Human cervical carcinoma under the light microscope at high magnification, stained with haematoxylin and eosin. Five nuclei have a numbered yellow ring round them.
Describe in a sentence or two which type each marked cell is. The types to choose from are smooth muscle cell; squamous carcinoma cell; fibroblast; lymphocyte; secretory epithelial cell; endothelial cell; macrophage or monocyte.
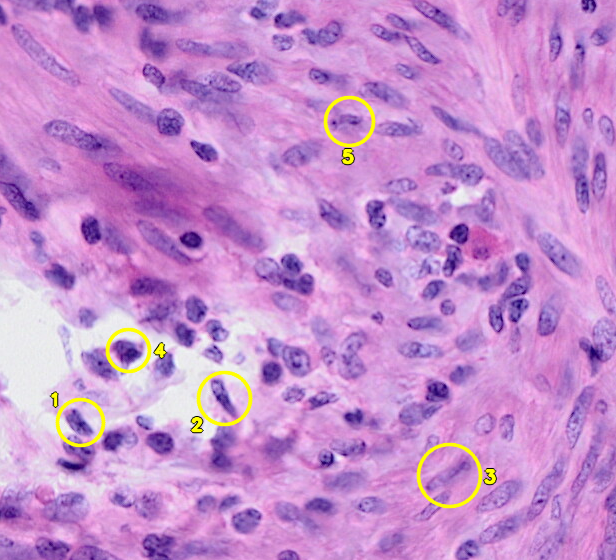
Cells 1, 2 and 4 are lymphocytes. Cells 3 and 5 are smooth muscle cells.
